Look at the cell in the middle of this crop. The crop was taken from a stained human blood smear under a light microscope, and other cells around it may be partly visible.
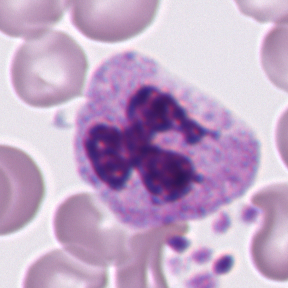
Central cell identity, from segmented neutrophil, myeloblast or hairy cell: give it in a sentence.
In the central position of this crop, the cell is a segmented neutrophil.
